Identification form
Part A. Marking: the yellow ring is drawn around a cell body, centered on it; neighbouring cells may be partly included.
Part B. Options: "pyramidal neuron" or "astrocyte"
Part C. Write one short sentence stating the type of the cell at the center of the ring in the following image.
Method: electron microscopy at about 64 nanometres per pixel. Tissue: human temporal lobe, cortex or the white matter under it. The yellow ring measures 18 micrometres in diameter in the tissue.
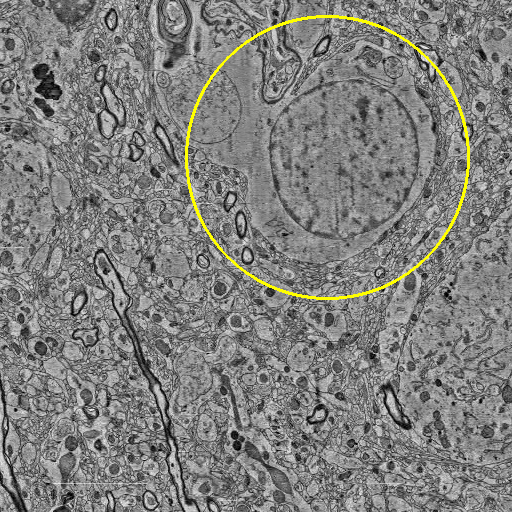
The center of the ring holds an astrocyte.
